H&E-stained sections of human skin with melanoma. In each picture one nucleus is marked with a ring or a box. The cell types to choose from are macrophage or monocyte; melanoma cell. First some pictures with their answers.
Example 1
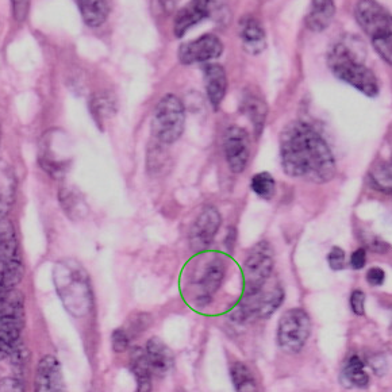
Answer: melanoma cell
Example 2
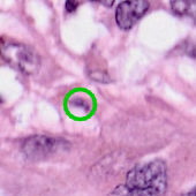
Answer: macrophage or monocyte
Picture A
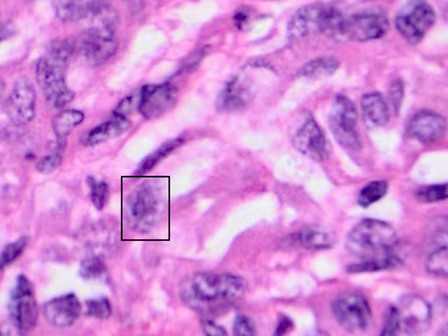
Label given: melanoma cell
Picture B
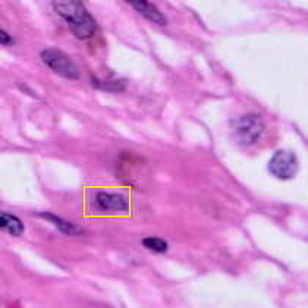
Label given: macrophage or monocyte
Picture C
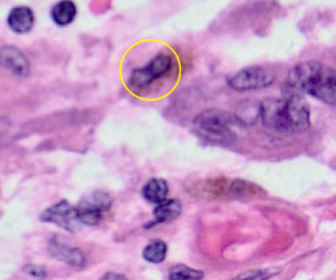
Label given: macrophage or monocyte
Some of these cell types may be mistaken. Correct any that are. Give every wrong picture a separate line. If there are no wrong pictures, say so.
All labels are correct.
